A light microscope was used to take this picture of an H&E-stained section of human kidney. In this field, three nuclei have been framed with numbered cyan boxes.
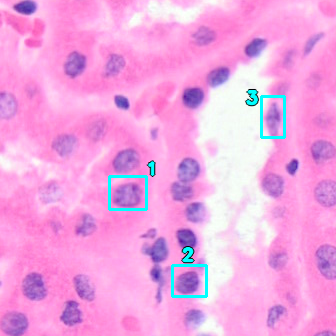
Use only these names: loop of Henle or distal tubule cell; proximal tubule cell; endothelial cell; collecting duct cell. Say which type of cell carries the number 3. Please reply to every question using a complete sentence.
Identified by the number 3, the cell is a loop of Henle or distal tubule cell.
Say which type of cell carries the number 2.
The cell tagged with 2 in this tissue section is a loop of Henle or distal tubule cell.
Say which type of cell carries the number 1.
The cell bearing label 1 corresponds to a proximal tubule cell.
